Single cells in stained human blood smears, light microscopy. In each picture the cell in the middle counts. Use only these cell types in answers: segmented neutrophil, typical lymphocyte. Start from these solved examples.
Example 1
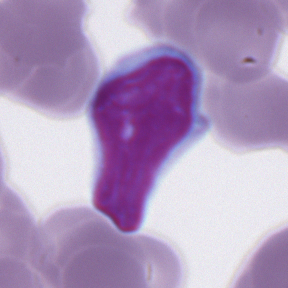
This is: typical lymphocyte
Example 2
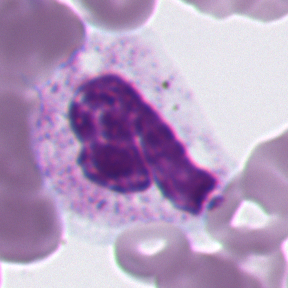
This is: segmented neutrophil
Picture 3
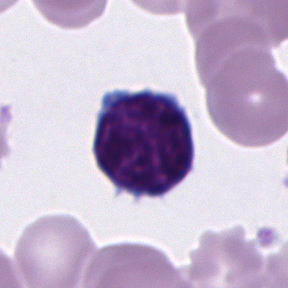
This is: typical lymphocyte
